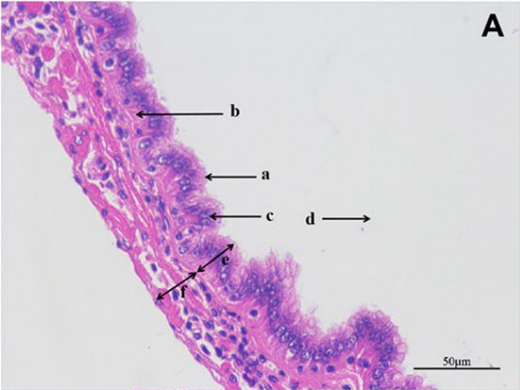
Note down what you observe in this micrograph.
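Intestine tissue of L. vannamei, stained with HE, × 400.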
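The free surface of the epithelium carries a fuzzy, purplish brush border. The cell nuclei are round to oval and stained purple, lying in a row within the cells. Beneath the epithelium lie thin pink layers of connective tissue and muscle with scattered elongated nuclei. The lumen to the right is clear and unstained.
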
